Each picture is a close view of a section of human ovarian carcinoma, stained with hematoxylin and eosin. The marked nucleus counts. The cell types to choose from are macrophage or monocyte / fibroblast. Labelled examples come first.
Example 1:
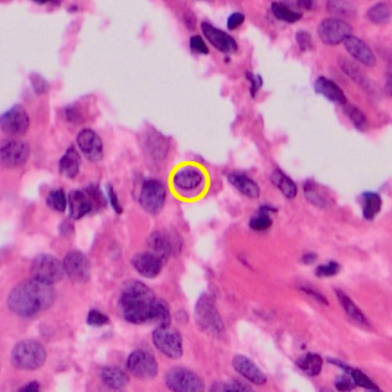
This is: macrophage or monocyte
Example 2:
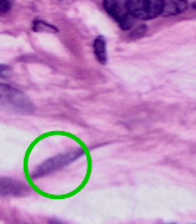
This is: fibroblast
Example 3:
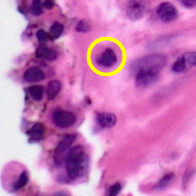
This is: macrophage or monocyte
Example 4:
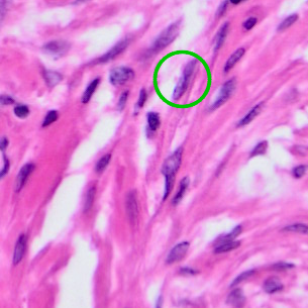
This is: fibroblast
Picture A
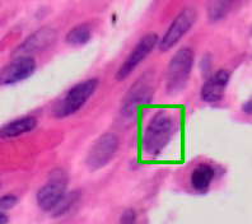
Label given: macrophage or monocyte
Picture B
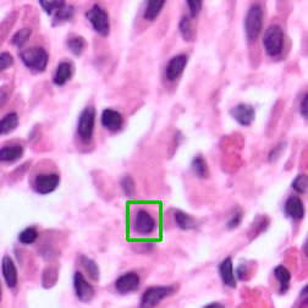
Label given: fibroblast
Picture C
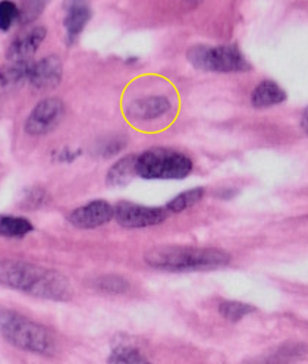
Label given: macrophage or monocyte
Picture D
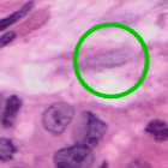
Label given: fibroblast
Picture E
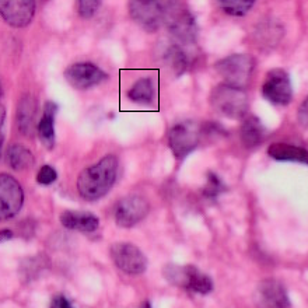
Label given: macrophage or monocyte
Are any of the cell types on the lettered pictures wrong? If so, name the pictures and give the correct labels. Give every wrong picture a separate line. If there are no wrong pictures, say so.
C is labelled macrophage or monocyte; correct label: fibroblast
